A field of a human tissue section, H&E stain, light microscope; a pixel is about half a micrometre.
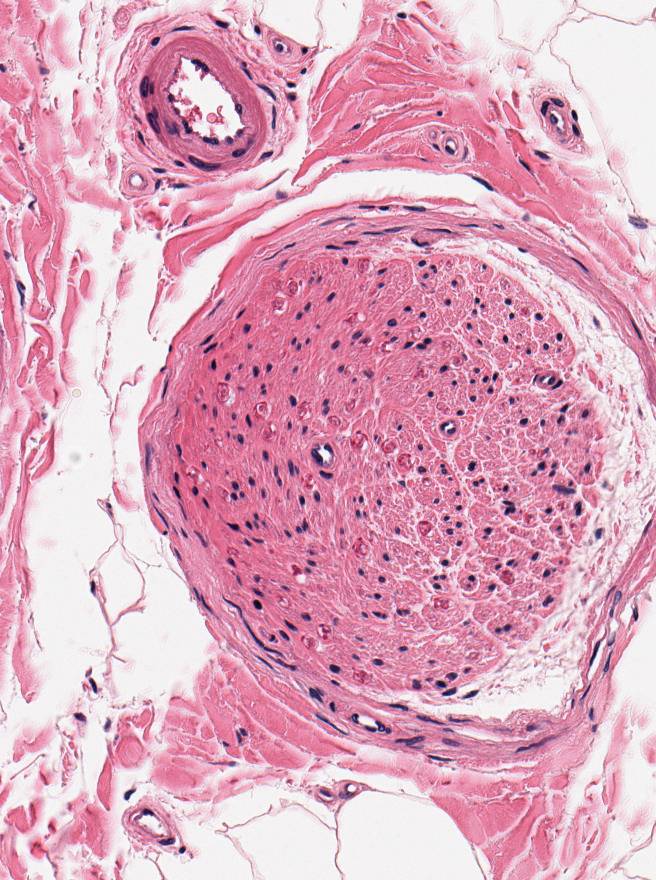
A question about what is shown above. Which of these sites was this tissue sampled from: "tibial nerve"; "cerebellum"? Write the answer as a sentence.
The site this tissue was sampled from is the tibial nerve.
